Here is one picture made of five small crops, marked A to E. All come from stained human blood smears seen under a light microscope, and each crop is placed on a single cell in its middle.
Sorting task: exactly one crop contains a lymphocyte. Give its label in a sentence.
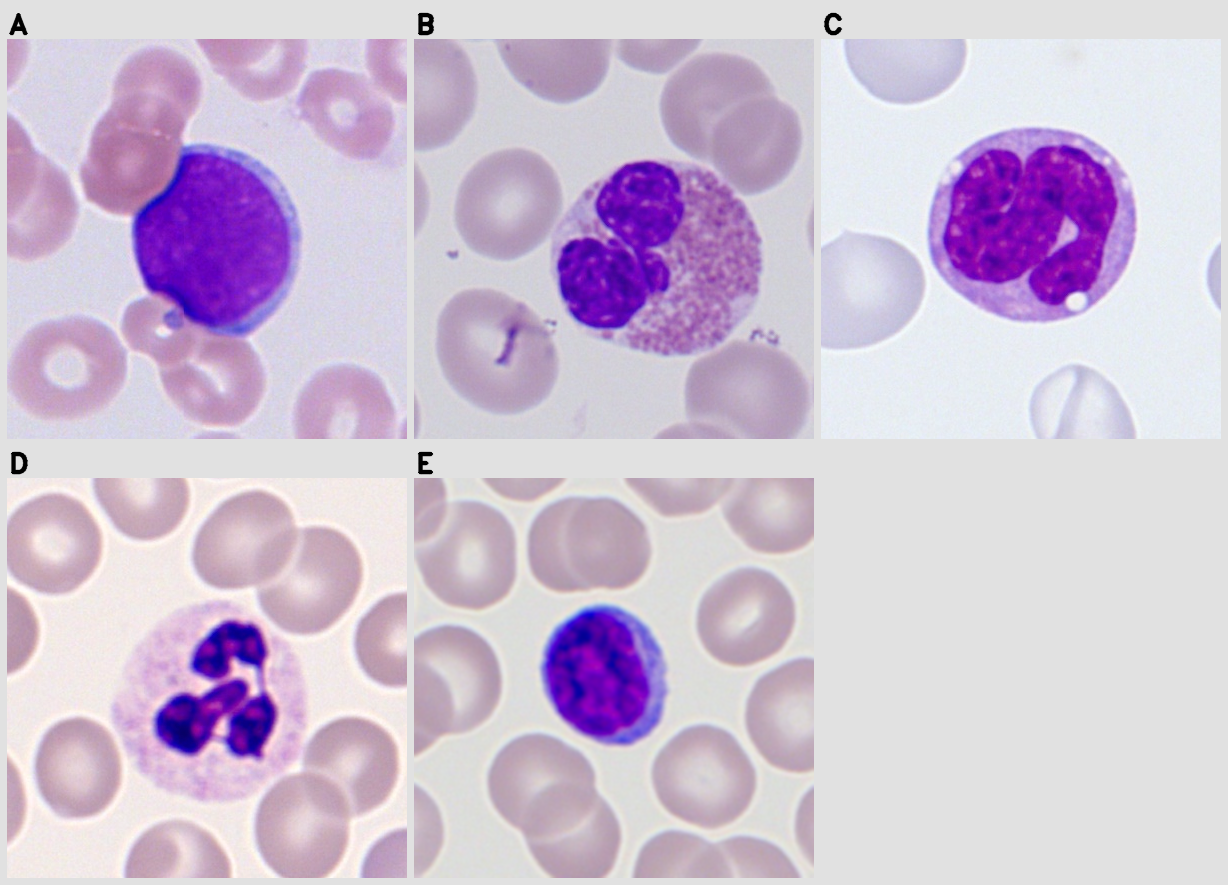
Within this set, crop E is the one with a lymphocyte at its center.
